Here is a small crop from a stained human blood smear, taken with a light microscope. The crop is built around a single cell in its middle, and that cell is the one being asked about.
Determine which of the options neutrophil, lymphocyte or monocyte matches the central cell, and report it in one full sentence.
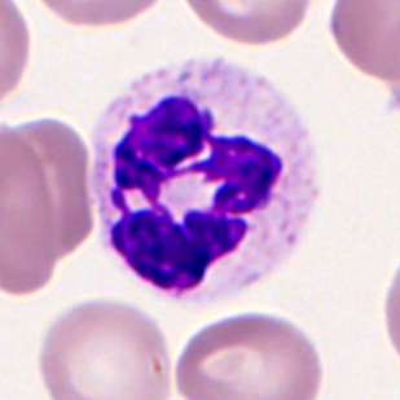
The cell under consideration, at the middle of the crop, is a neutrophil.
